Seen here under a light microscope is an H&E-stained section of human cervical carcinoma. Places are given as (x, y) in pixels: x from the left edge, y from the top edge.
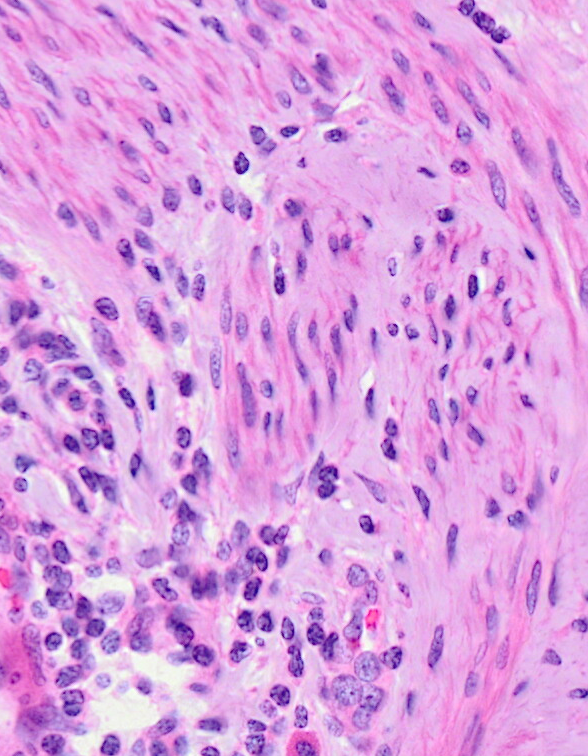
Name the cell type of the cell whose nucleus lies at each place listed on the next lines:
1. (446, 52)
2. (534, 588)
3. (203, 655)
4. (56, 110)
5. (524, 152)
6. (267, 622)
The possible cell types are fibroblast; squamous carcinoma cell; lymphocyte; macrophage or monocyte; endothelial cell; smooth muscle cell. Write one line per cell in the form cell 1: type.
cell 1: smooth muscle cell
cell 2: smooth muscle cell
cell 3: lymphocyte
cell 4: smooth muscle cell
cell 5: smooth muscle cell
cell 6: lymphocyte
